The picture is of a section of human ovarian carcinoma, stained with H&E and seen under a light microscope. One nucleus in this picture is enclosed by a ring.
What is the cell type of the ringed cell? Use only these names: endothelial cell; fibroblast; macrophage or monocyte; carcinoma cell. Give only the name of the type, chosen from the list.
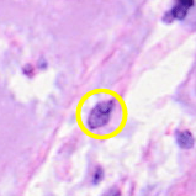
macrophage or monocyte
